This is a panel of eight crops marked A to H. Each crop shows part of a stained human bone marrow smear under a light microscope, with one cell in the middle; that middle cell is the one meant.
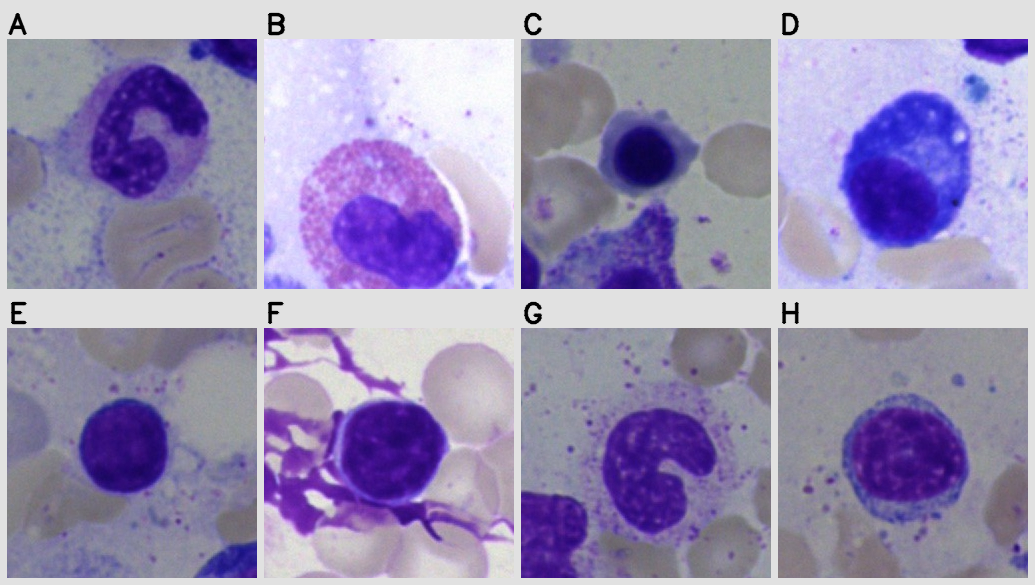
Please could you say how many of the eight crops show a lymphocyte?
3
